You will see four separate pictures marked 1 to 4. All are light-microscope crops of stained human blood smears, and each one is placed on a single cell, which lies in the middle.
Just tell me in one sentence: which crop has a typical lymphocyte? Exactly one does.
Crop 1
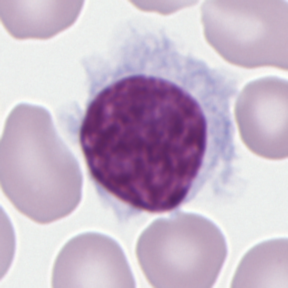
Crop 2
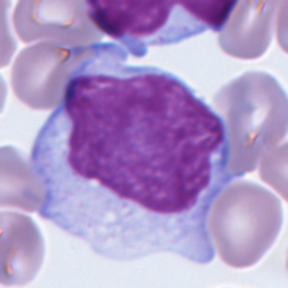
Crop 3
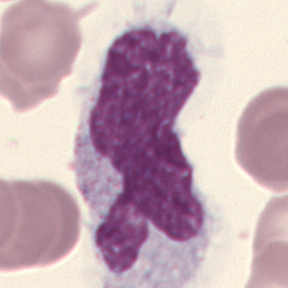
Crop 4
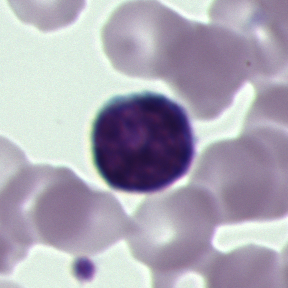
The crop carrying a typical lymphocyte at the center is crop 4.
